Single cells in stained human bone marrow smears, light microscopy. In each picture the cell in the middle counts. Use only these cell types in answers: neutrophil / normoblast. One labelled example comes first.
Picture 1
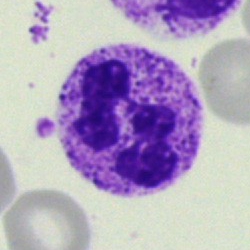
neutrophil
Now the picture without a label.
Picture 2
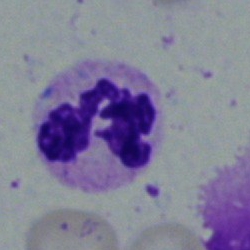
neutrophil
